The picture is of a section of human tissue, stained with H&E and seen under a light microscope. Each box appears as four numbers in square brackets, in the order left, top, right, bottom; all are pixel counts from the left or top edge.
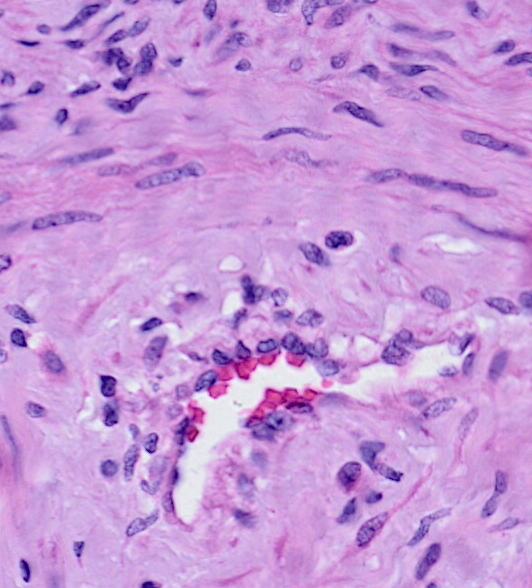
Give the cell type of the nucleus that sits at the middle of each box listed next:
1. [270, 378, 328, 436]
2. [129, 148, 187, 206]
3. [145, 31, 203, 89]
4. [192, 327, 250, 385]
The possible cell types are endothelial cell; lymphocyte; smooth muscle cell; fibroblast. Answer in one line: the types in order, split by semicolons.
endothelial cell; smooth muscle cell; fibroblast; endothelial cell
